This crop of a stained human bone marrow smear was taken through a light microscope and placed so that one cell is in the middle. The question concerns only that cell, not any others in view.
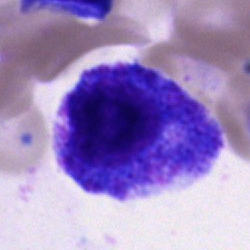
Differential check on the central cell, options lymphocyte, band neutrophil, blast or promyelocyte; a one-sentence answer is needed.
The cell in the middle of the field of view is a promyelocyte.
